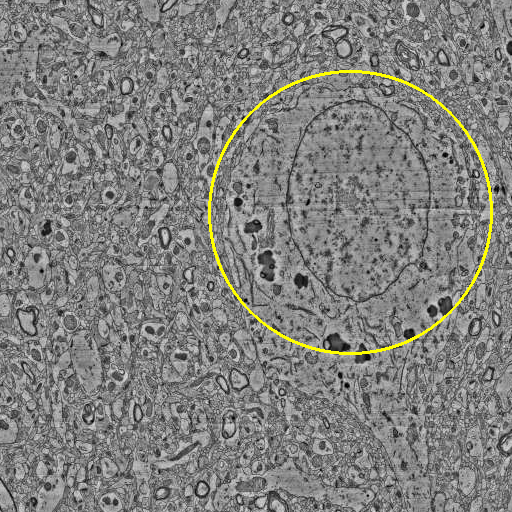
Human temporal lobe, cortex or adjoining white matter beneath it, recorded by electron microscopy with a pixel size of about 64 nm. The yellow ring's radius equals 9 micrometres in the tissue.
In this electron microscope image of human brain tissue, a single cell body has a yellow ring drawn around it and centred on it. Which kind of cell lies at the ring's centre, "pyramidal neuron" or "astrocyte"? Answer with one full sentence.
It is a pyramidal neuron whose cell body lies at the centre of the yellow ring here.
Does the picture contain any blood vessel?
No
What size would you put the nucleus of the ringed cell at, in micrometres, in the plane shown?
In this plane the nucleus measures roughly 13 by 9 micrometers.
